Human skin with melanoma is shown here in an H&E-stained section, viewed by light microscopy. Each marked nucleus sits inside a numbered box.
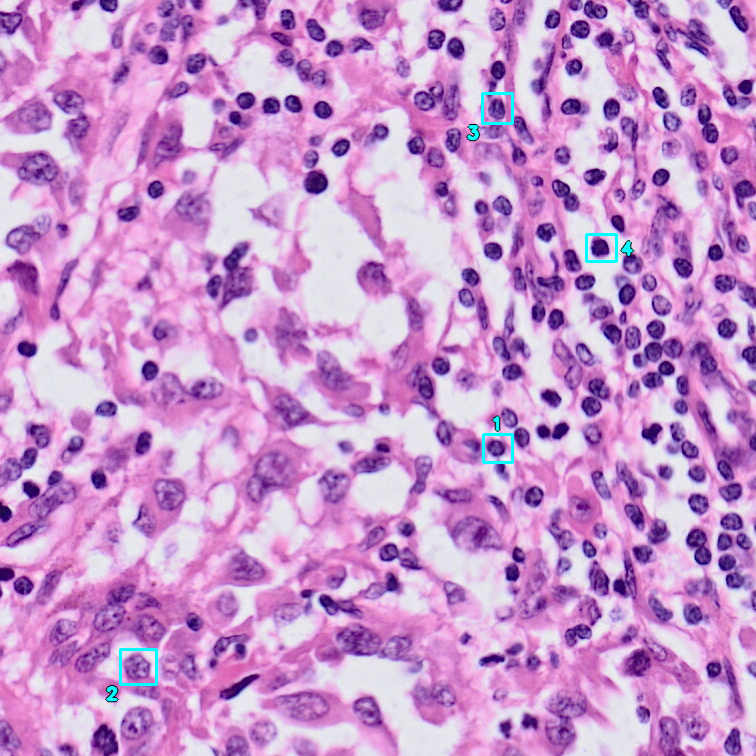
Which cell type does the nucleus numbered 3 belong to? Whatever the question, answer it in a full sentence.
The expected answer is that cell 3 is a lymphocyte.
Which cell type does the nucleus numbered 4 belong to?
Marked with the number 4, this cell is a lymphocyte.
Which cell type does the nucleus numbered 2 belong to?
Here, the cell given the number 2 is a melanoma cell.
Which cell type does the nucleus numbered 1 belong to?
The cell referenced by the number 1 is a lymphocyte in this field.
